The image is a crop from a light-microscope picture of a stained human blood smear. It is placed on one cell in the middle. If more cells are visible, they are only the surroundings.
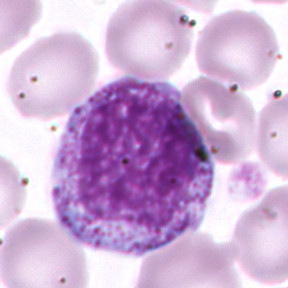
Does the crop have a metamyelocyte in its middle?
no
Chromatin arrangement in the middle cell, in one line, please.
Heads up, the chromatin is fine with no coarse clumps in it.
